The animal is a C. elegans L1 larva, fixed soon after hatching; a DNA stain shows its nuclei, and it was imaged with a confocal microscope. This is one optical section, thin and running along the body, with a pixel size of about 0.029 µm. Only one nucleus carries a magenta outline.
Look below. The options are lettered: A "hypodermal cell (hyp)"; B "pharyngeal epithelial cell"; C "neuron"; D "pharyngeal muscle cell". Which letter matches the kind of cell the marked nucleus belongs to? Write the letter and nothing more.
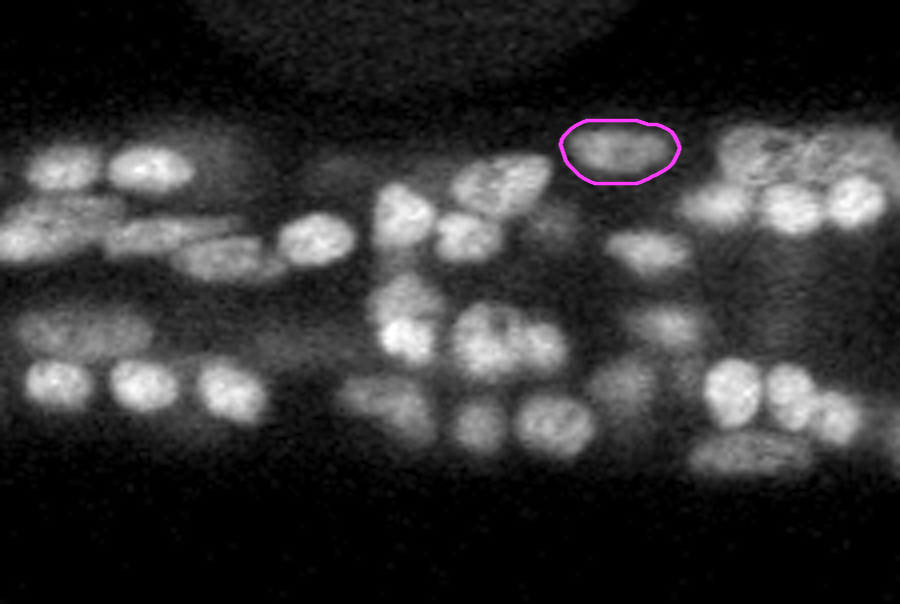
A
